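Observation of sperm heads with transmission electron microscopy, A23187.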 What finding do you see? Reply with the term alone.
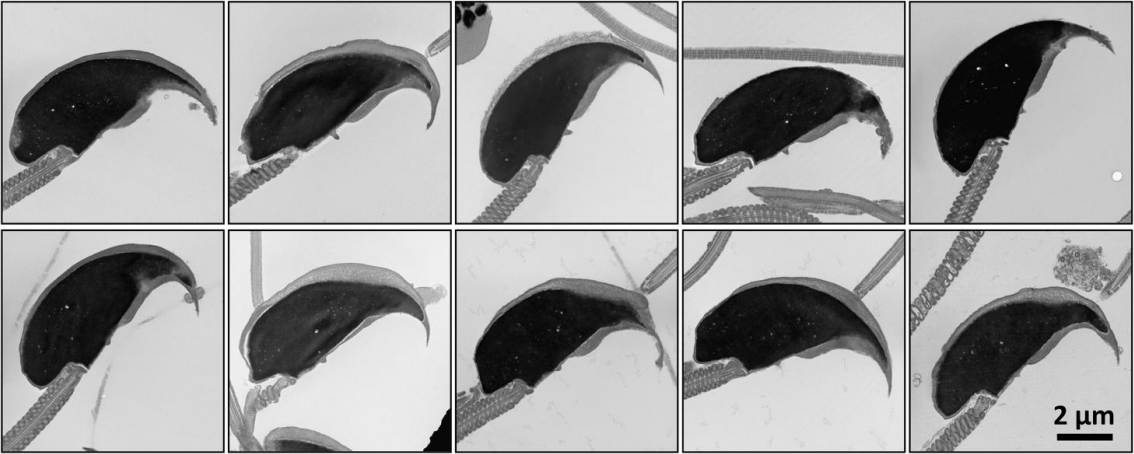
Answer: Acrosome swelling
